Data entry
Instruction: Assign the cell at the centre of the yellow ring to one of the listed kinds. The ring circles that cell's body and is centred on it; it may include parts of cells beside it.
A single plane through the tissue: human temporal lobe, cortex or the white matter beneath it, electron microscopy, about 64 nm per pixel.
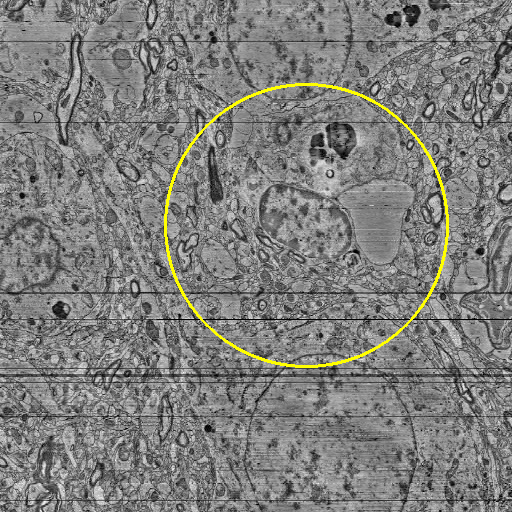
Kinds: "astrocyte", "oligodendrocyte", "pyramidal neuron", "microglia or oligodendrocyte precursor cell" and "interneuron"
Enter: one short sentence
The centre of the ring falls on a microglial cell or oligodendrocyte precursor cell.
